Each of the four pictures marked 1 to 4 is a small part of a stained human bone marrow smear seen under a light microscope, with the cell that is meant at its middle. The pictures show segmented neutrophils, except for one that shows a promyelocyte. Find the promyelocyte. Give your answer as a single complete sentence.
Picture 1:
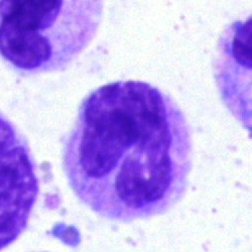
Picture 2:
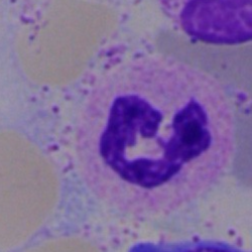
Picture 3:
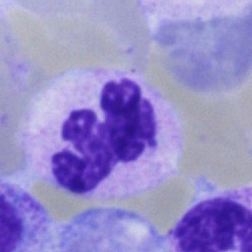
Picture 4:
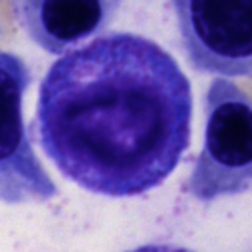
The picture with the promyelocyte is 4.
